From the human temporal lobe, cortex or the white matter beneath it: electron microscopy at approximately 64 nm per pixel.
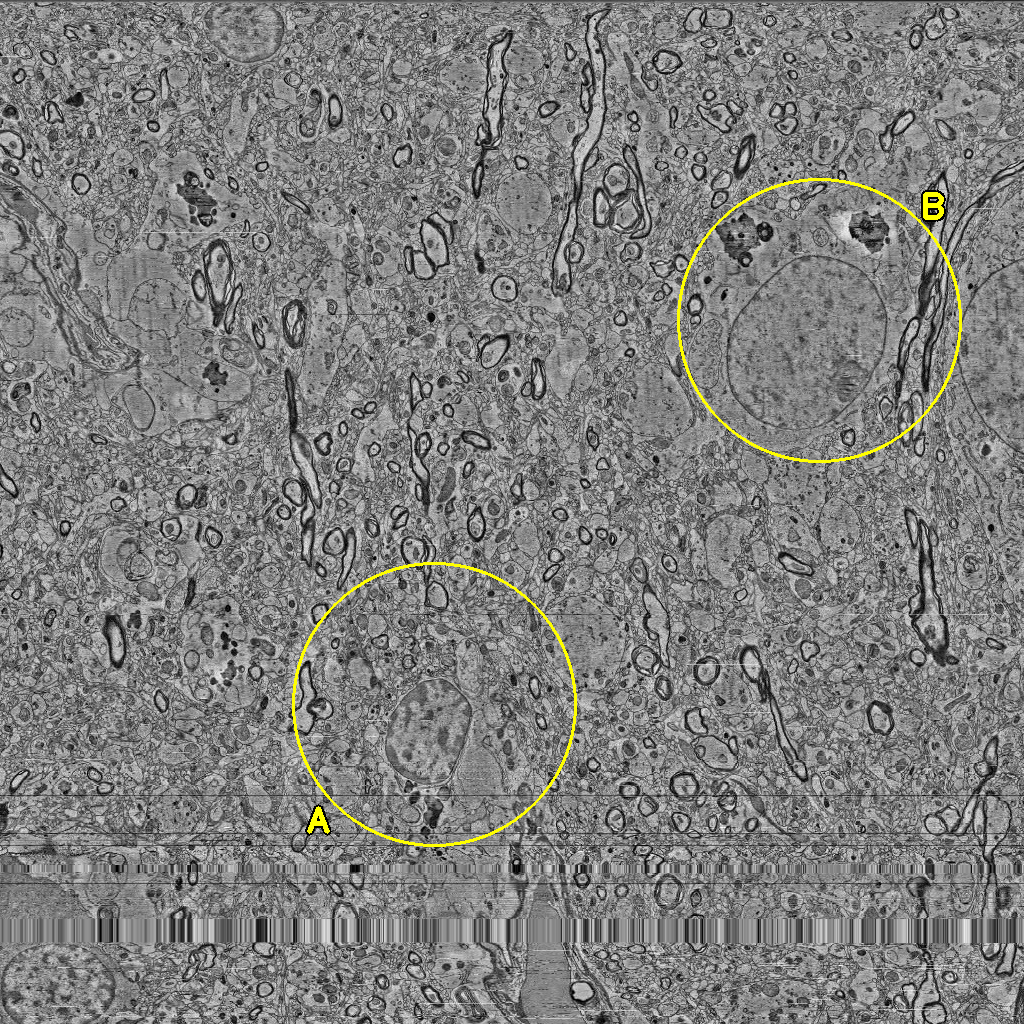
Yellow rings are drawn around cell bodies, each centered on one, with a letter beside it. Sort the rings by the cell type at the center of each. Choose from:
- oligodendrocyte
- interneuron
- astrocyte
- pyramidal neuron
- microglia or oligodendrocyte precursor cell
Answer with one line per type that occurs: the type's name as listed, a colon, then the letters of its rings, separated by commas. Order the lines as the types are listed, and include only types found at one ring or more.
astrocyte: B
microglia or oligodendrocyte precursor cell: A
